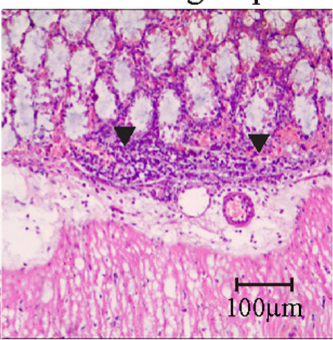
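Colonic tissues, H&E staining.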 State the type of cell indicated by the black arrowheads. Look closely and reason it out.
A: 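Inflammatory cells. The arrowheads point to a dense band of small, dark, round nuclei. The band lies beneath the crypts, at the base of the mucosa above the paler submucosa.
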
